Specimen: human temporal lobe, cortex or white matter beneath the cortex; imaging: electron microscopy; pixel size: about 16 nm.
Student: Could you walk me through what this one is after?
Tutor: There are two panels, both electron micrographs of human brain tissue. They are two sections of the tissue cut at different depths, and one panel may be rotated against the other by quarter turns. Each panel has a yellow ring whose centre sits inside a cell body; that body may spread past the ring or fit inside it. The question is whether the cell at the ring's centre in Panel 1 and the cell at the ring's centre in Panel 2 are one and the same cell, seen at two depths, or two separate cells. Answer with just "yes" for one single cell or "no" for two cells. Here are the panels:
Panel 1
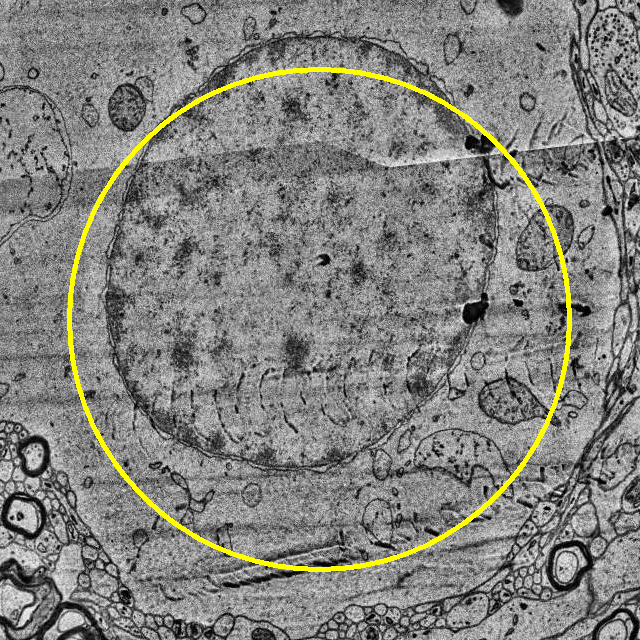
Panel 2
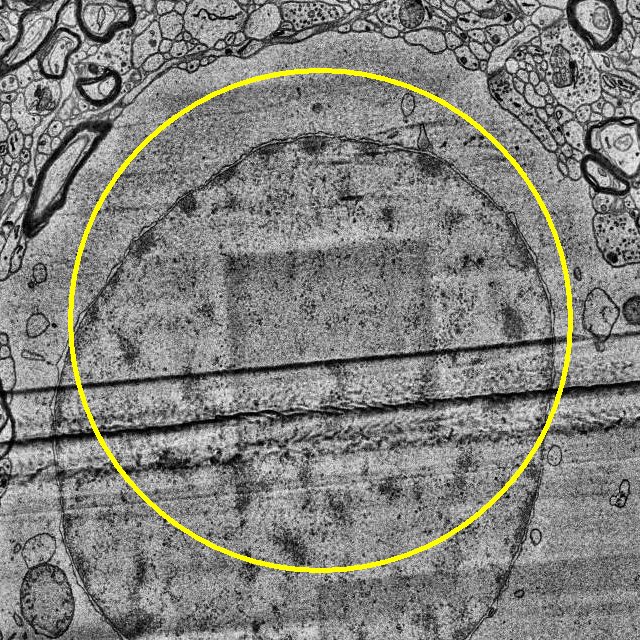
yes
